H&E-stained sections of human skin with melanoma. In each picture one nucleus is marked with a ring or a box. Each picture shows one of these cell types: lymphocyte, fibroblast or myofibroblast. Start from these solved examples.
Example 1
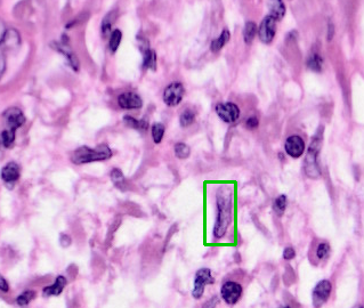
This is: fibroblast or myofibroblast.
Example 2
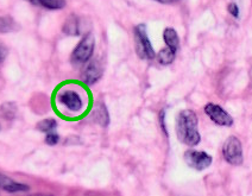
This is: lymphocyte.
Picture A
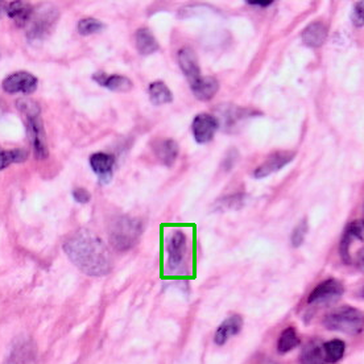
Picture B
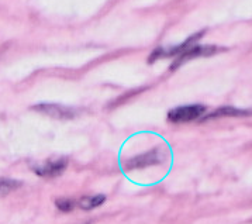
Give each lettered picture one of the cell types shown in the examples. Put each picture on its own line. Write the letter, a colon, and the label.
A: fibroblast or myofibroblast.
B: fibroblast or myofibroblast.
